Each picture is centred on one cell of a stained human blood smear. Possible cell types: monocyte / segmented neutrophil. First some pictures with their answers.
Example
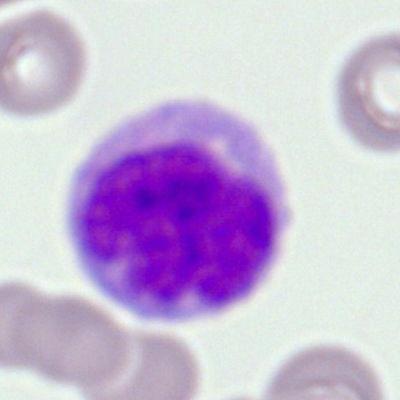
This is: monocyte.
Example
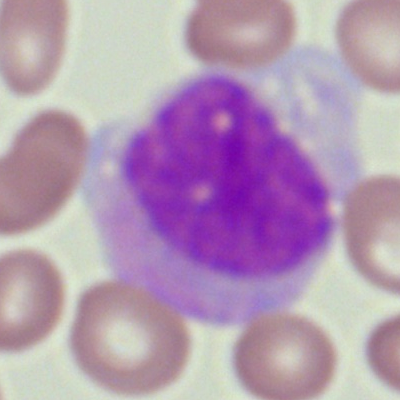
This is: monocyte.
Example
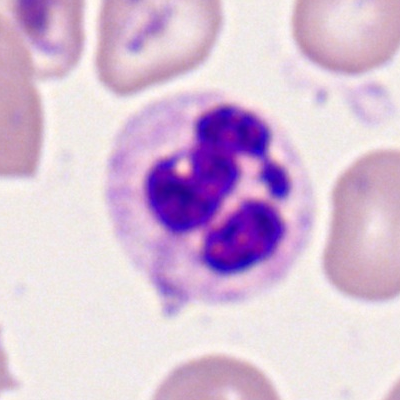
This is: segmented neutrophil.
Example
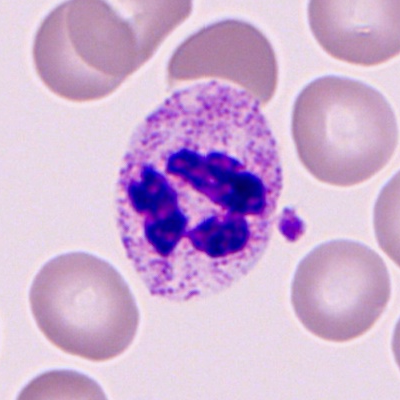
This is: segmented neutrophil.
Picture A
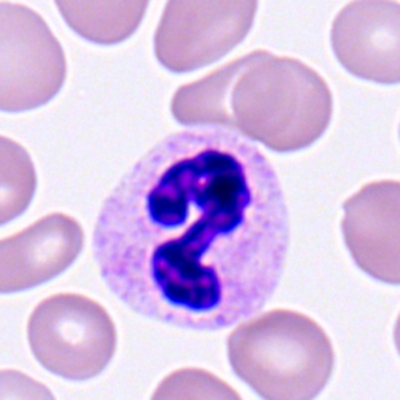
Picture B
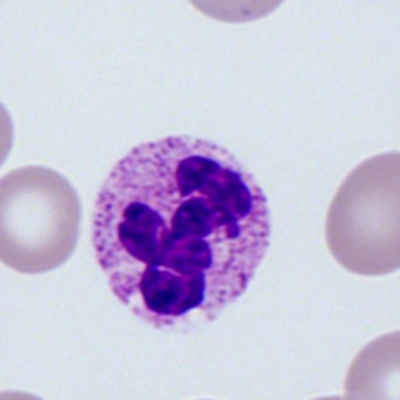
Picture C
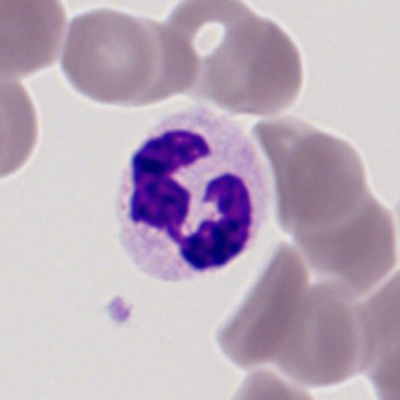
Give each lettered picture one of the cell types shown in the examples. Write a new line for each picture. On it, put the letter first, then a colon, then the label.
A: segmented neutrophil.
B: segmented neutrophil.
C: segmented neutrophil.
